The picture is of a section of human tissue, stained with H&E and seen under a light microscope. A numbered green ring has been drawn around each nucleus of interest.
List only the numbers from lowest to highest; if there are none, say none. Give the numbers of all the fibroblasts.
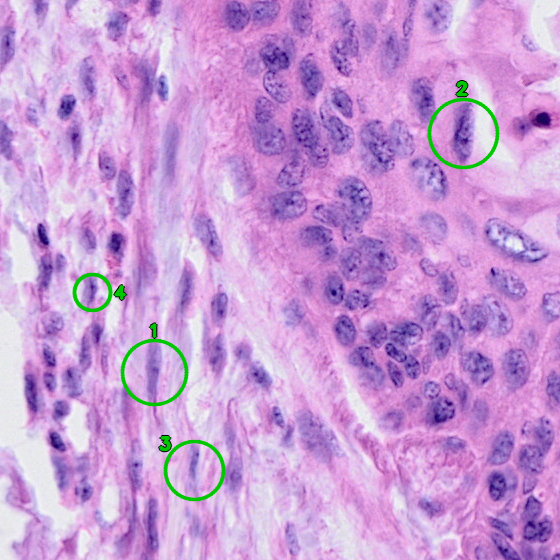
1, 3, 4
